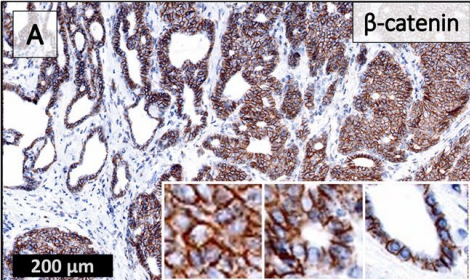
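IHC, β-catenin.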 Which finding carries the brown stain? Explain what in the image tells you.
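Brown stain outlines the borders of the tumour cells. Nuclei remain blue and unstained, as the insets show. So: membranous but not nuclear staining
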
